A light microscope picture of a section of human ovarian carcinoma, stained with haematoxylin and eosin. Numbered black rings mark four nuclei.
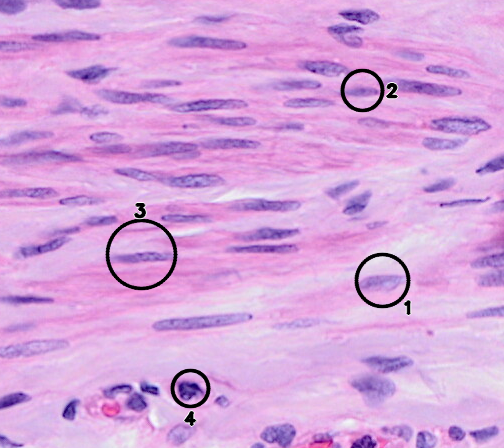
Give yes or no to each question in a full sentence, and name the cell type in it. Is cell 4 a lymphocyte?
Yes, kindly take note: the cell numbered 4 is a lymphocyte.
